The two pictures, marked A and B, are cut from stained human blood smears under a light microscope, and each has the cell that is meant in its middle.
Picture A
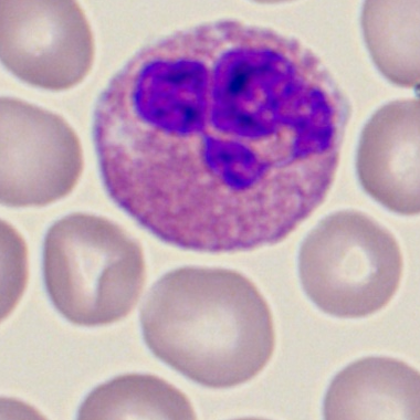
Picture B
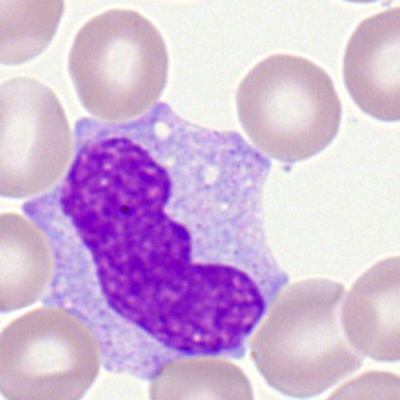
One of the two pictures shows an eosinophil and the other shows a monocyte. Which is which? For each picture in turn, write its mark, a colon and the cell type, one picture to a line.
A: eosinophil
B: monocyte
